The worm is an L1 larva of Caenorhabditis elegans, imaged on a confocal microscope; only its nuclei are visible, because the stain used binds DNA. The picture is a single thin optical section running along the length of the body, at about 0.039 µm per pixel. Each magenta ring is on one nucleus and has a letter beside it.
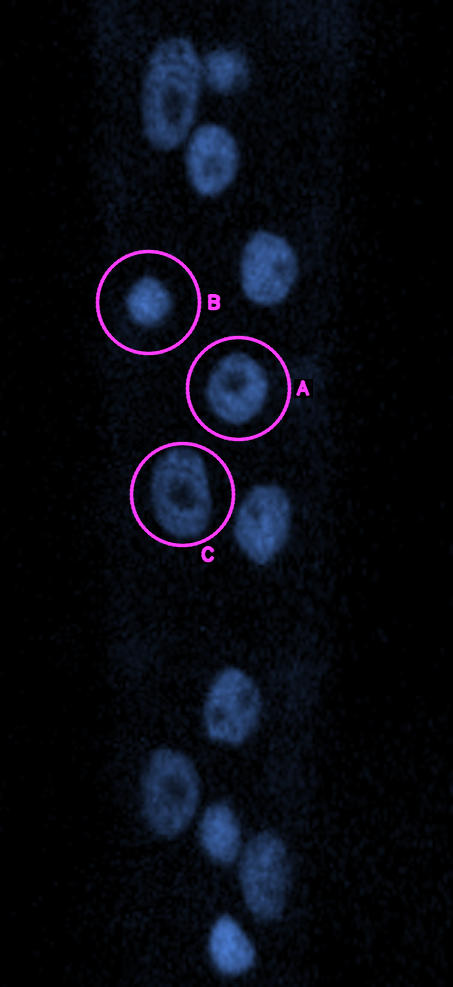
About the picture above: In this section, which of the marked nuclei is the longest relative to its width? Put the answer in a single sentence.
C is the most elongated.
